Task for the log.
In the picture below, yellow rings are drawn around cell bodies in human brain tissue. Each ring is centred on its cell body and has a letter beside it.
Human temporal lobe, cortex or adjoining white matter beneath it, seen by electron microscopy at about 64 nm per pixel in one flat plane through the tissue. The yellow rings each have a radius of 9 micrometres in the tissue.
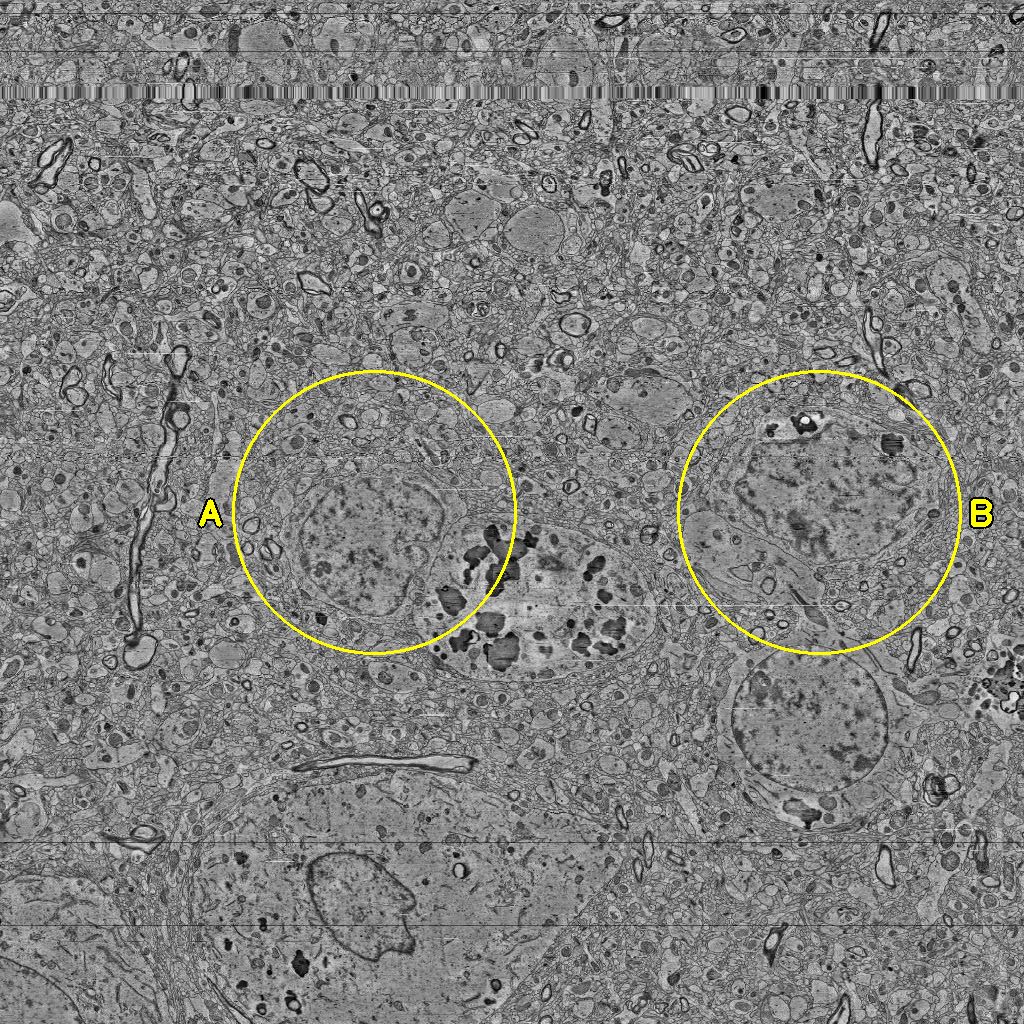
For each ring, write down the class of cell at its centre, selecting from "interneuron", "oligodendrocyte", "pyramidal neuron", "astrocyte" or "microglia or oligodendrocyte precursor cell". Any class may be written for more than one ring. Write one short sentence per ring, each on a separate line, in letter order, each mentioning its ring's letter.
The cell inside ring A, at its centre, is an interneuron.
The cell inside ring B, at its centre, is an interneuron.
